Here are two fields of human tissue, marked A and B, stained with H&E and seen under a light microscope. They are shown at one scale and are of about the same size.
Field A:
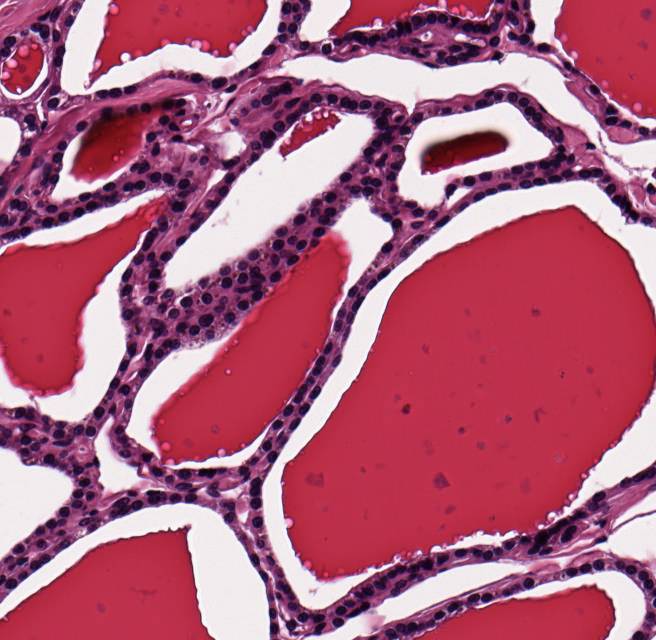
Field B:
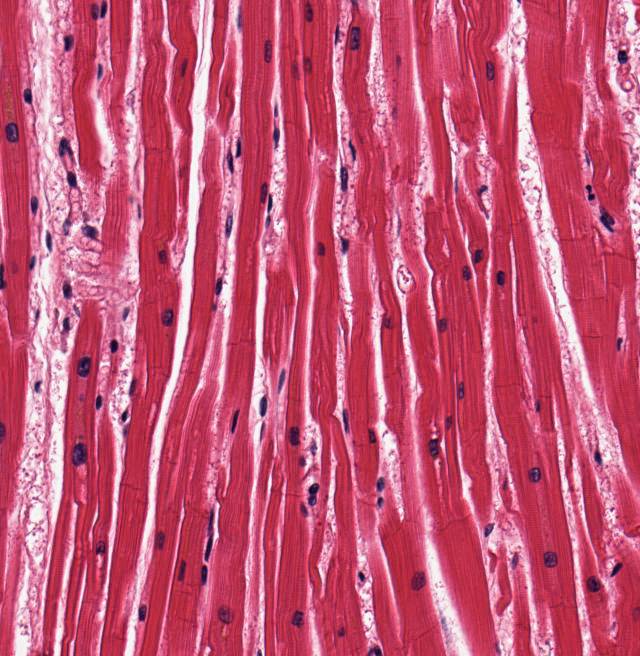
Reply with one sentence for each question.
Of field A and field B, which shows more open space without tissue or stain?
Field A has more white space.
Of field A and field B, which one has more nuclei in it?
Field A holds more nuclei than field B.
